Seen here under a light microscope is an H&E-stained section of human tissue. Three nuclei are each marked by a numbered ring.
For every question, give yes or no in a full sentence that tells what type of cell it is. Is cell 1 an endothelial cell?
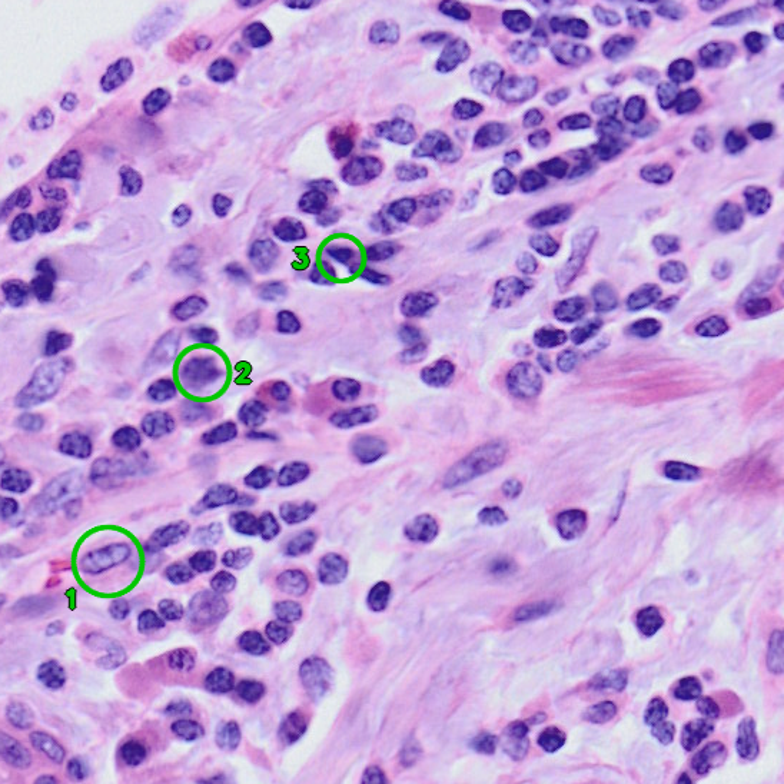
Yes, the cell at marker 1 is an endothelial cell.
